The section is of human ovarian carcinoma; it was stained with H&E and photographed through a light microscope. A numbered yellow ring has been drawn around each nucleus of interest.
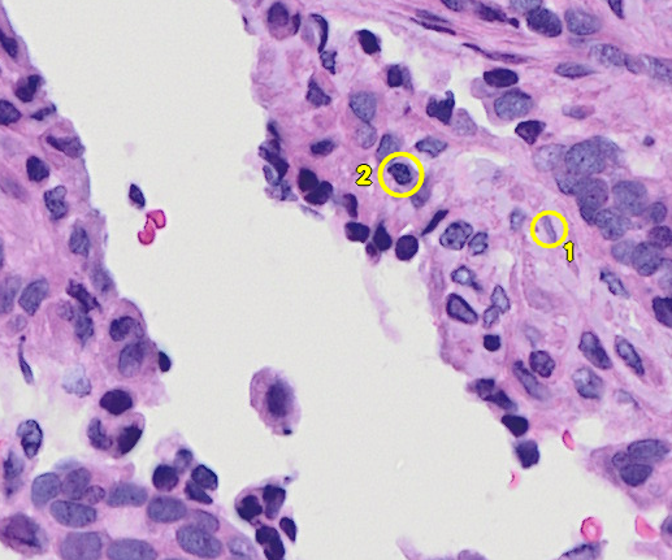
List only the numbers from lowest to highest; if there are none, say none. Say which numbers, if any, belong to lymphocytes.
2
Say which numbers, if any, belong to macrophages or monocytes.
none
